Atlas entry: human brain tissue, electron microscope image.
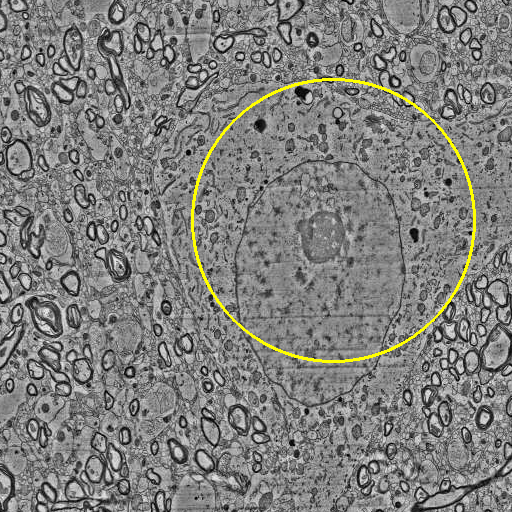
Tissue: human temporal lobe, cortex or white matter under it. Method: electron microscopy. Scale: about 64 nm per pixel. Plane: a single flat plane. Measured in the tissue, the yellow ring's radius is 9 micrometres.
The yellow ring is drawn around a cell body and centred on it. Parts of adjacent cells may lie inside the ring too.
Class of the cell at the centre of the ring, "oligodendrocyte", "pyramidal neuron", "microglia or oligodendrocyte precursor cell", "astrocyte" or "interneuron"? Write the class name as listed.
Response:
pyramidal neuron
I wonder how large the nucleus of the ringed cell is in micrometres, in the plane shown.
In this plane, the nucleus of the cell at the centre of the ring measures about 16 by 11 micrometres.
